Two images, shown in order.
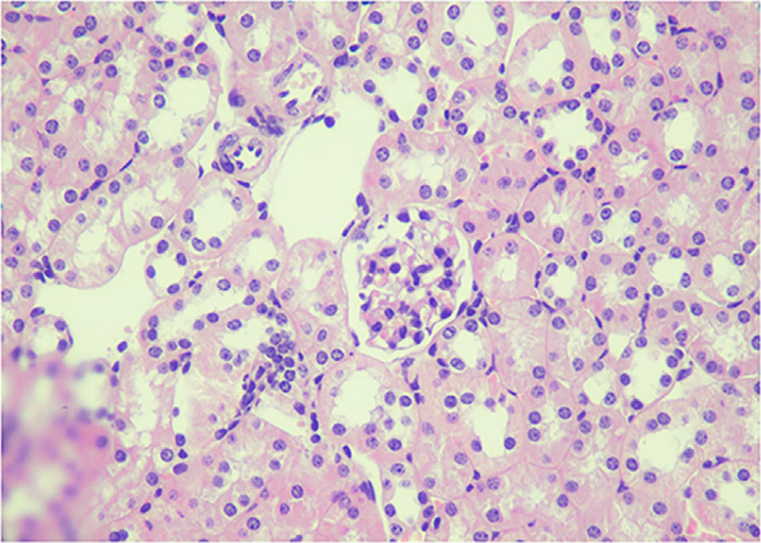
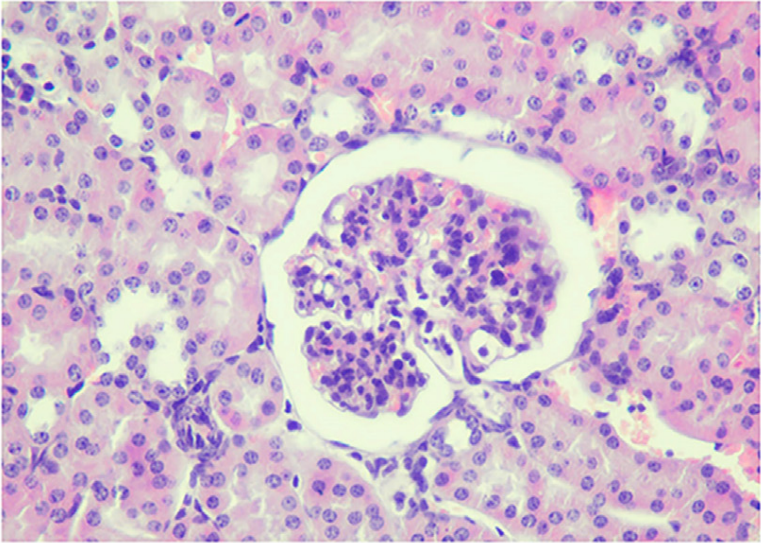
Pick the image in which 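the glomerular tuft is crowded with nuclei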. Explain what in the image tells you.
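Second image: the glomerulus is large and its tuft is densely filled with dark nuclei. First image: the glomerulus is small, with scattered nuclei and open capillary loops.
Hence: the second image.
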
